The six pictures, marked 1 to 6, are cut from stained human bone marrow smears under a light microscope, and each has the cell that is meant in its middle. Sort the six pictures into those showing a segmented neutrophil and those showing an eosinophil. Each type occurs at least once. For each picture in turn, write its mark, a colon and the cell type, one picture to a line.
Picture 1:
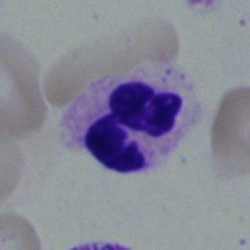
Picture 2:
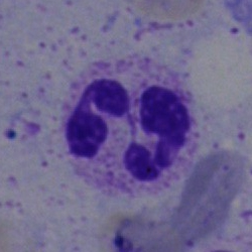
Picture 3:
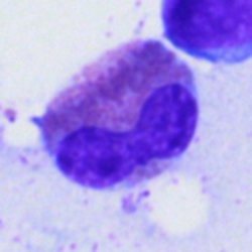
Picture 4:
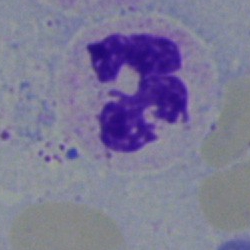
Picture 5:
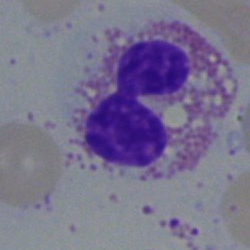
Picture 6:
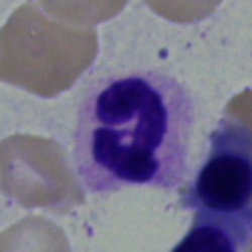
1: segmented neutrophil
2: segmented neutrophil
3: eosinophil
4: segmented neutrophil
5: eosinophil
6: segmented neutrophil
